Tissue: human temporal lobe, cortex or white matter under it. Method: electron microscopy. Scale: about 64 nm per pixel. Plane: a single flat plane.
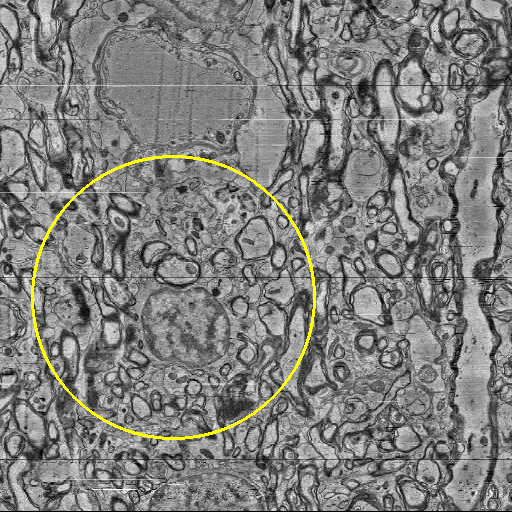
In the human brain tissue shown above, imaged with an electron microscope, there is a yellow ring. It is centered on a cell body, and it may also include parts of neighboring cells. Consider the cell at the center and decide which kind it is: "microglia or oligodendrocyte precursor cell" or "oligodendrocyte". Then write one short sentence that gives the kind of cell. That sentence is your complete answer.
This centered cell body is that of an oligodendrocyte.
